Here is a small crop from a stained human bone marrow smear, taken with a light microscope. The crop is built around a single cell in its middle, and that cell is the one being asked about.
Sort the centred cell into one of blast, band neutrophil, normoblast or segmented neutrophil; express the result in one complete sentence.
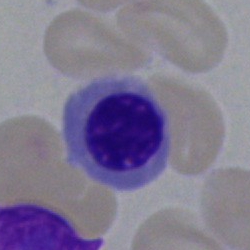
Here the cell in the middle is a normoblast.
